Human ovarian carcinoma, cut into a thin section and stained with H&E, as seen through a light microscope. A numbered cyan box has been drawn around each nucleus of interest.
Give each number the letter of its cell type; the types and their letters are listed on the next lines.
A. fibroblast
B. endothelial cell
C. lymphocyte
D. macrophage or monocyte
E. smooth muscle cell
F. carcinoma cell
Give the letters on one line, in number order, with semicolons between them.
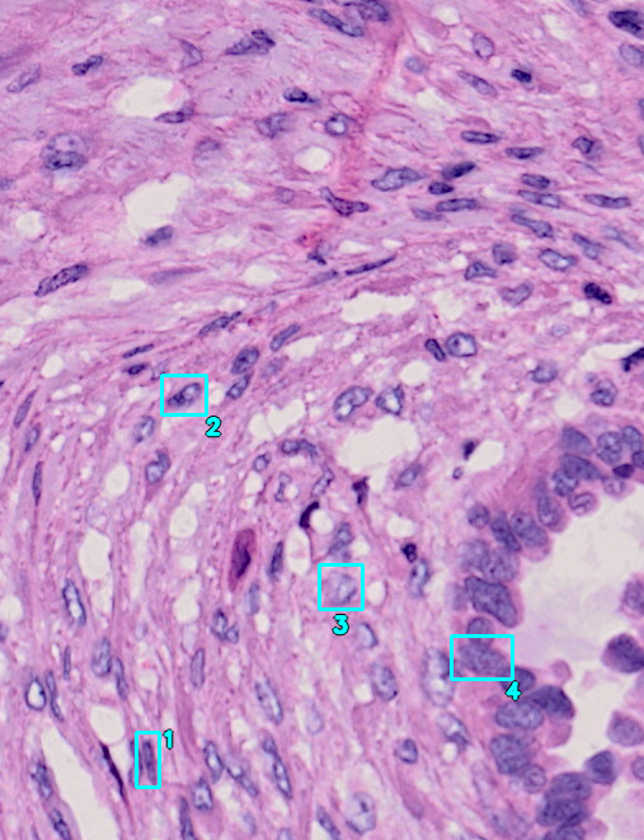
A; A; A; F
